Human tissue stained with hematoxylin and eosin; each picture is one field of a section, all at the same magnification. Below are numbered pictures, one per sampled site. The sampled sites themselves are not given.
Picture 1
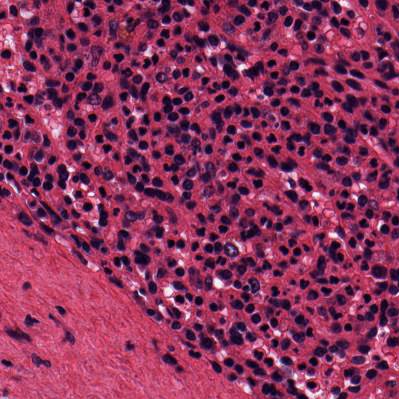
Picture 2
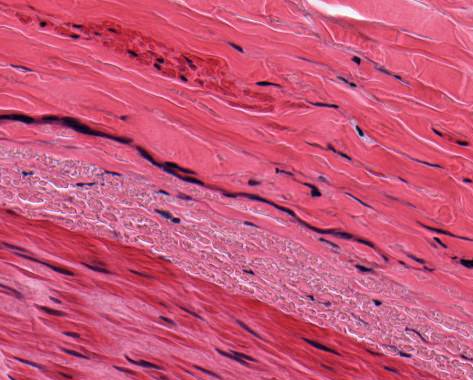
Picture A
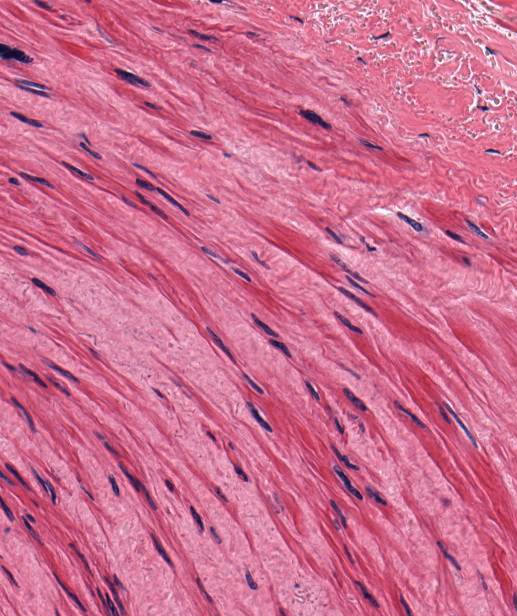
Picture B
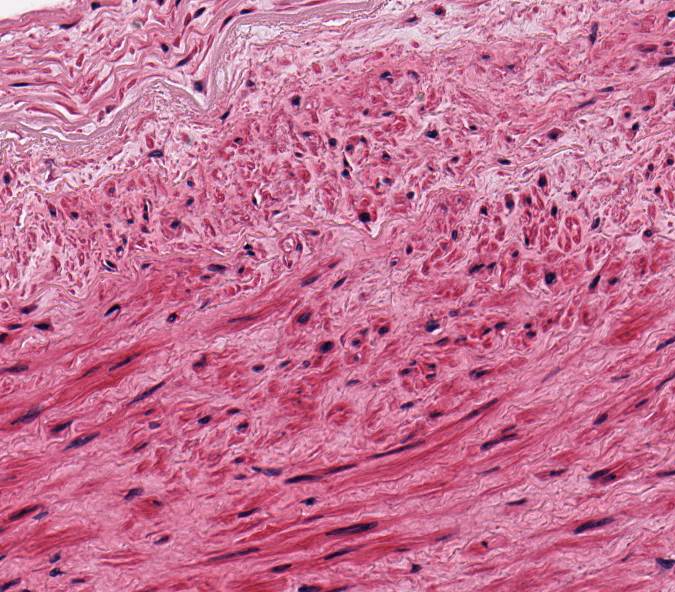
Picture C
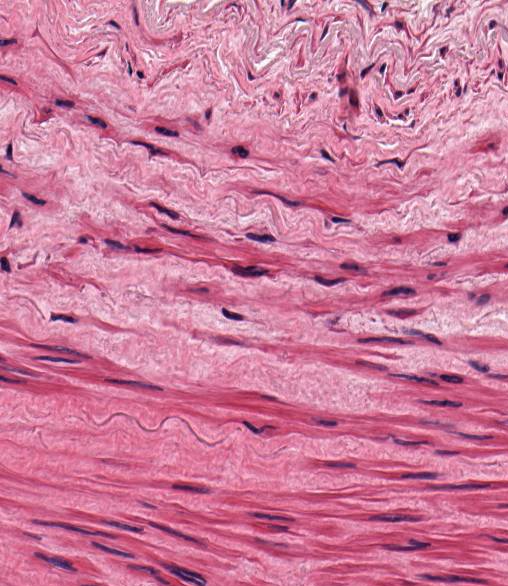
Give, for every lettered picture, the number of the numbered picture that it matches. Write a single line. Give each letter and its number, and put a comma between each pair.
A 2, B 2, C 2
